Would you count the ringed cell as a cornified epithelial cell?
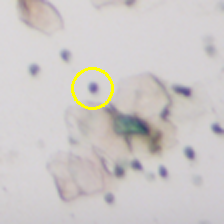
No, I would count it as a leukocyte.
